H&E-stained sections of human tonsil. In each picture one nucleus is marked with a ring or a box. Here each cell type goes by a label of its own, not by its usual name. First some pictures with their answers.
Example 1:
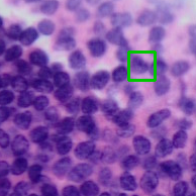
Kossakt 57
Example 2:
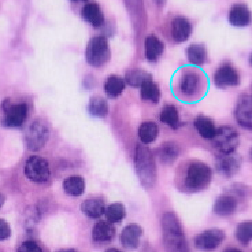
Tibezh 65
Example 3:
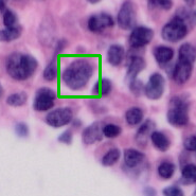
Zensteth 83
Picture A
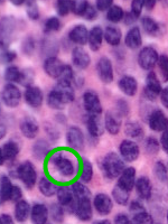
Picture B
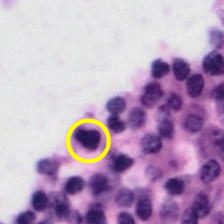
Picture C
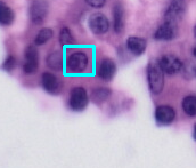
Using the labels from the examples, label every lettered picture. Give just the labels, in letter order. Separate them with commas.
Kossakt 57, Zensteth 83, Tibezh 65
